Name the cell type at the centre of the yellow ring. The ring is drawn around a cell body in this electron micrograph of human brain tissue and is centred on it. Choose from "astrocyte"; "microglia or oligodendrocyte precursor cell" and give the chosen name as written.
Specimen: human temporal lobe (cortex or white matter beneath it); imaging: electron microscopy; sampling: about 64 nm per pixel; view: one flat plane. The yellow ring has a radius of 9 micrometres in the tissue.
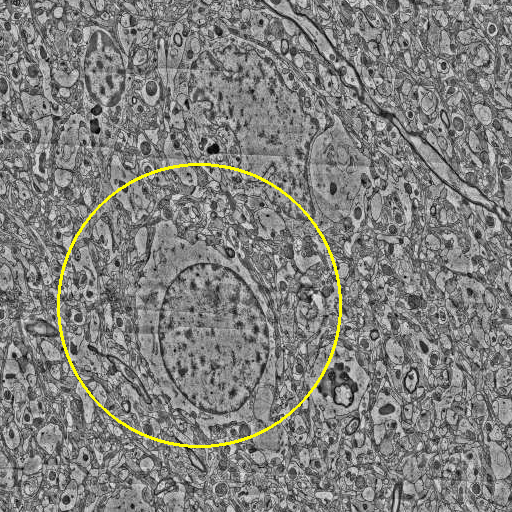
astrocyte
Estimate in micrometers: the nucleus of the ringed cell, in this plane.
In this plane the nucleus measures roughly 10 by 7 micrometres.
